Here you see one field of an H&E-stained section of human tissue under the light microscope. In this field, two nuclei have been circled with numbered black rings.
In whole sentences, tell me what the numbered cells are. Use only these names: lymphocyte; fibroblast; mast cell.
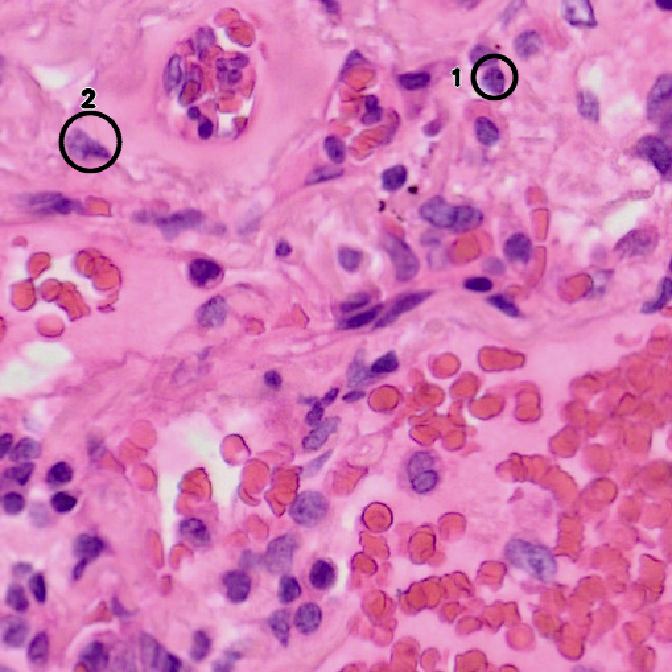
Cell 1 is a lymphocyte and cell 2 is a fibroblast.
